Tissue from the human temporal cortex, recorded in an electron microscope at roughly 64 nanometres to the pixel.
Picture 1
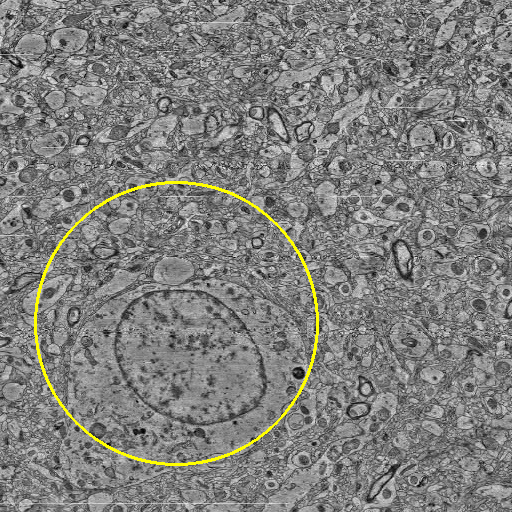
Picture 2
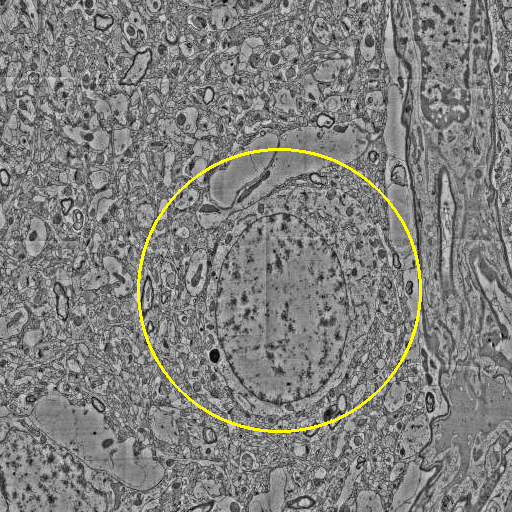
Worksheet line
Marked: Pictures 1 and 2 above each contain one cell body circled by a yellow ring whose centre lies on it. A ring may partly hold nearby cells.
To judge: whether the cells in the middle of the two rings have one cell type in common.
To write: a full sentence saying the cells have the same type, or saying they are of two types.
The cells in the middle of the rings in Picture 1 and Picture 2 have the same type.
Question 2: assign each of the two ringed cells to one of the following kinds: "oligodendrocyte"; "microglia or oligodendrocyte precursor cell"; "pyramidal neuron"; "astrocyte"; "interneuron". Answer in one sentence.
The first and the second cell are each a pyramidal neuron.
